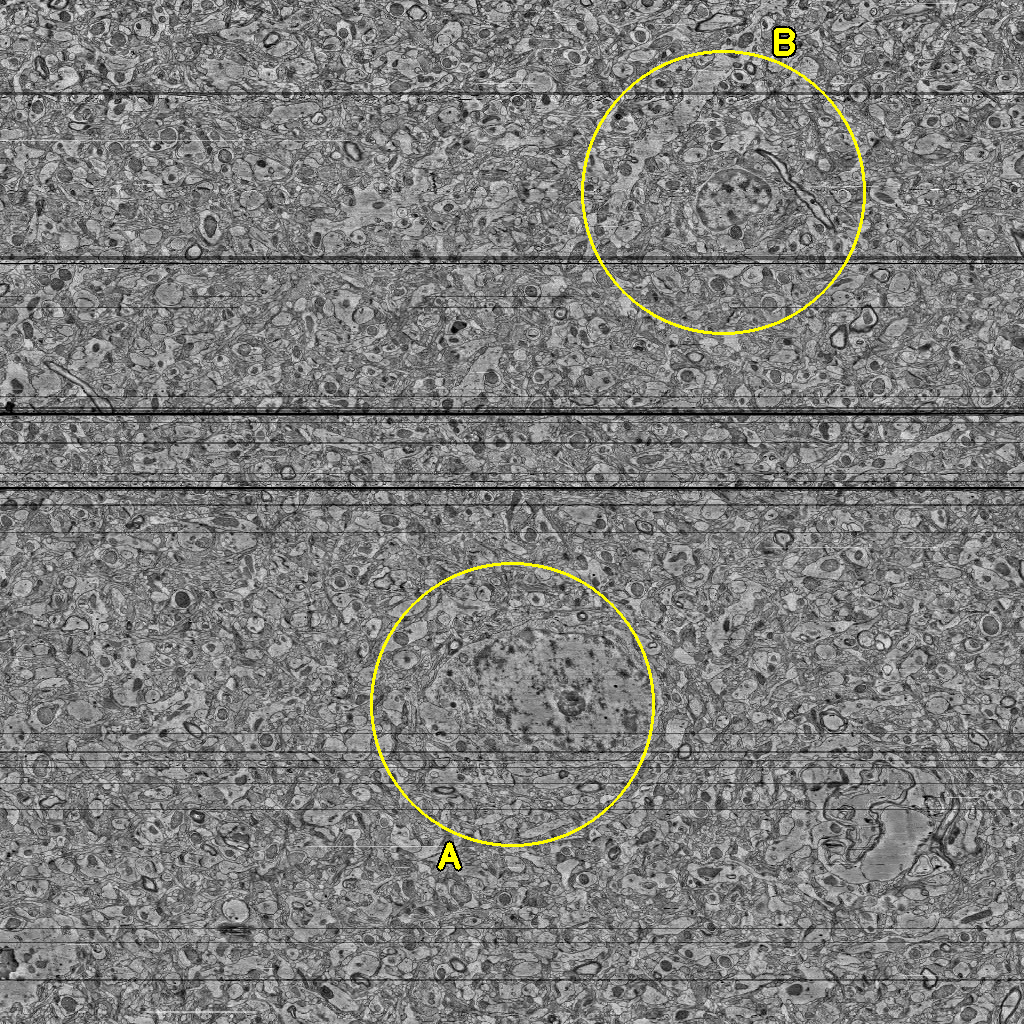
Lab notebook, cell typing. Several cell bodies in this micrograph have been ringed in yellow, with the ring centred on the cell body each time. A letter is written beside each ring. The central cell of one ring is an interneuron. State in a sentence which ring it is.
It is ring A.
